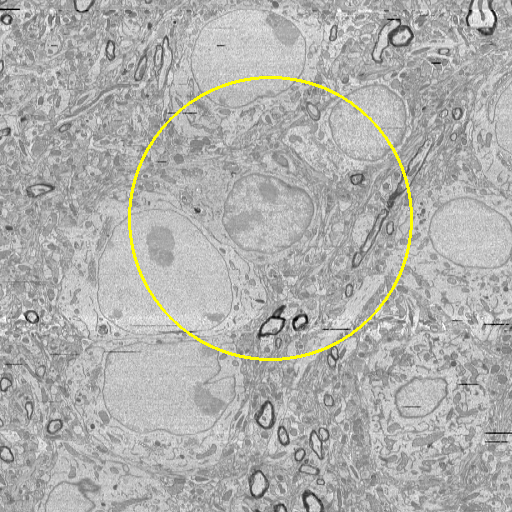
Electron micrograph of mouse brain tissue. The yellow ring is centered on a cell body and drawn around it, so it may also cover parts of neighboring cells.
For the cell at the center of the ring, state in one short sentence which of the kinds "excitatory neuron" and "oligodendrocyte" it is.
This ring is centered on an oligodendrocyte.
